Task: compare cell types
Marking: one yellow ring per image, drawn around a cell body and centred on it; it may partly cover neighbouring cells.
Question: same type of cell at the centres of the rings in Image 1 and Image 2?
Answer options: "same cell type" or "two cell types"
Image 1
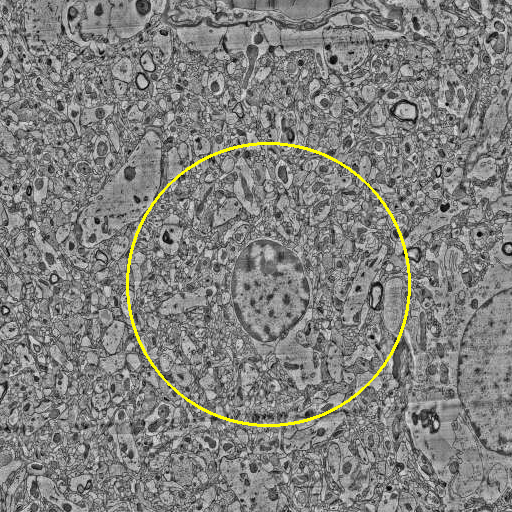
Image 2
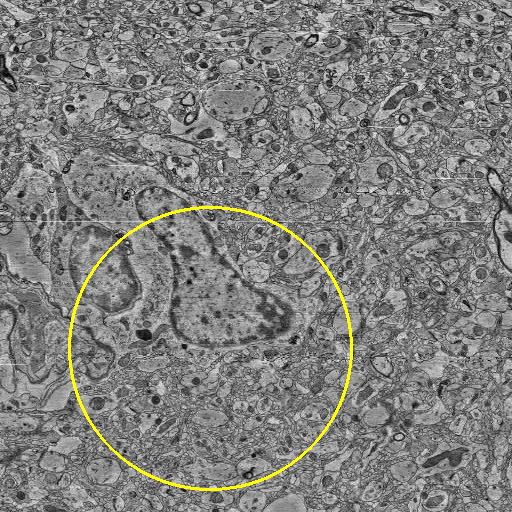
same cell type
